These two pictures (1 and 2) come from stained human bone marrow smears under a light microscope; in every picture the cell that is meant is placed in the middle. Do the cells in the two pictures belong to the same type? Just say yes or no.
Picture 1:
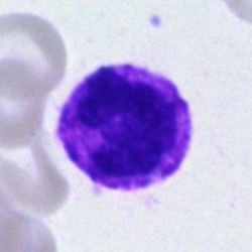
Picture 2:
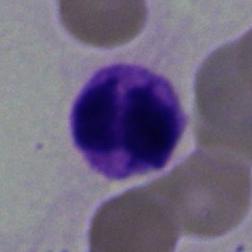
yes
